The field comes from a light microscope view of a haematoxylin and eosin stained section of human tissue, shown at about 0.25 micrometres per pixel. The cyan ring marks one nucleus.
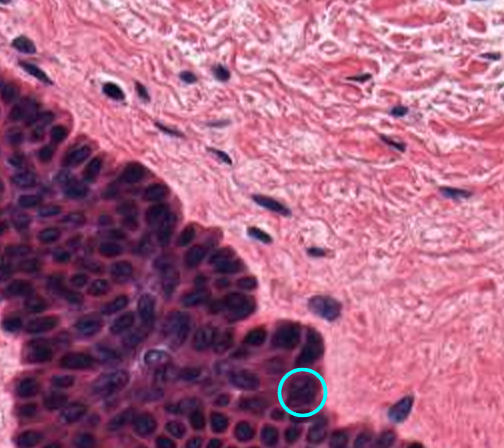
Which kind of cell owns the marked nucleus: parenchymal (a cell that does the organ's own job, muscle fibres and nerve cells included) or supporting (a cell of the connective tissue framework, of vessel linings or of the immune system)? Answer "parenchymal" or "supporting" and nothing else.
parenchymal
